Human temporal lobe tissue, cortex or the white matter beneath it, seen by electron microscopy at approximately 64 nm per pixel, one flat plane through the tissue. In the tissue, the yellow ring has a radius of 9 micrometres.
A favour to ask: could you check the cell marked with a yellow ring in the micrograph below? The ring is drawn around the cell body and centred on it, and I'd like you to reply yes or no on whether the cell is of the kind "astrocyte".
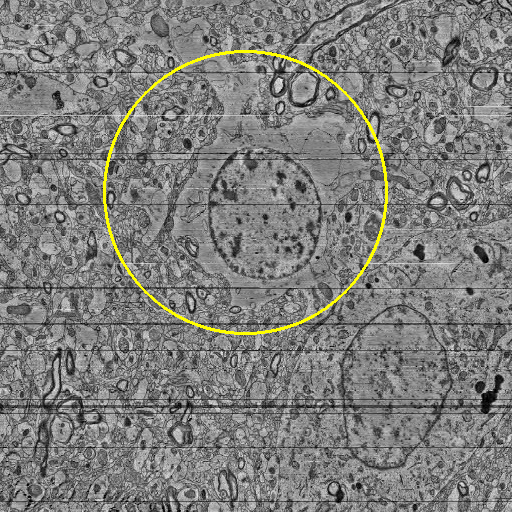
yes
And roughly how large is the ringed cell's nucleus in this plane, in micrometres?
In this plane the nucleus measures roughly 9 by 7 micrometers.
